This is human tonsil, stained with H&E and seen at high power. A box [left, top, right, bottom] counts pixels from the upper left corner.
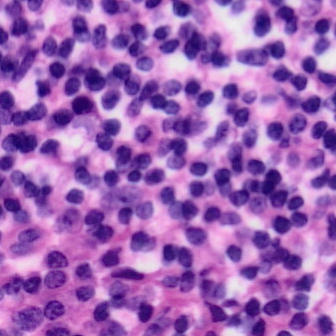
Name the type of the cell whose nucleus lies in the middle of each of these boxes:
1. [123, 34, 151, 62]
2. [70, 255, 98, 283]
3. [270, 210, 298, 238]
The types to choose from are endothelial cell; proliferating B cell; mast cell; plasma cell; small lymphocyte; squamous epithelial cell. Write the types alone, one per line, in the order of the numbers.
small lymphocyte
plasma cell
small lymphocyte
